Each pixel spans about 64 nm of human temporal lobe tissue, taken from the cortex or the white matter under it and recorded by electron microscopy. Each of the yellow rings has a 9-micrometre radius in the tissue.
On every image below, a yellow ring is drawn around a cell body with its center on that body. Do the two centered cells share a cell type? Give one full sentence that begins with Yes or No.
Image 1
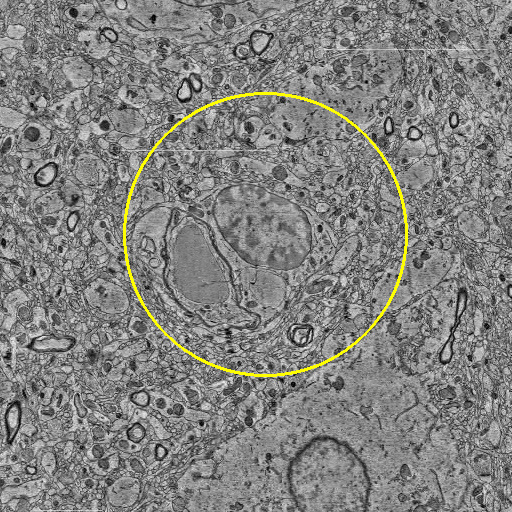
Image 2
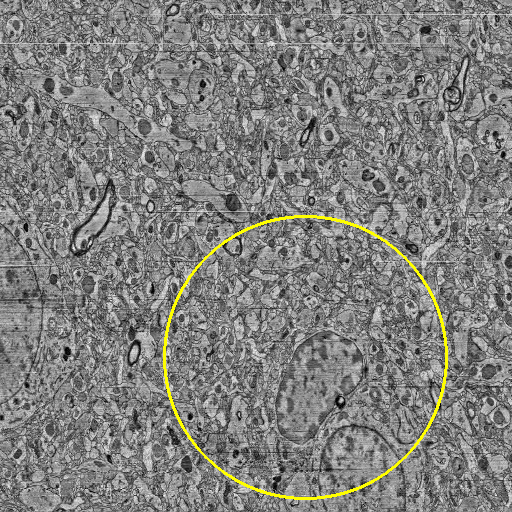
Yes, the centered cells in the two images are of a single cell type.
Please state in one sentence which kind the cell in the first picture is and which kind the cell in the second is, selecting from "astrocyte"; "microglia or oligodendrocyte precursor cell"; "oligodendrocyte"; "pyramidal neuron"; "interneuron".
The cell in the first picture is a microglial cell or oligodendrocyte precursor cell, and so is the one in the second.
